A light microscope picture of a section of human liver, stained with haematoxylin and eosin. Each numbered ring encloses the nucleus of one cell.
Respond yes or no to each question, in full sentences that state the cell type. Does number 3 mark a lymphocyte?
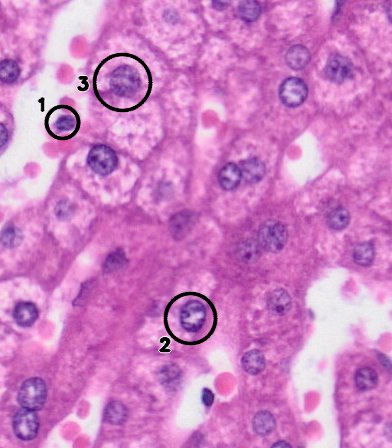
No, number 3 is assigned to a hepatocyte, not to a lymphocyte.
